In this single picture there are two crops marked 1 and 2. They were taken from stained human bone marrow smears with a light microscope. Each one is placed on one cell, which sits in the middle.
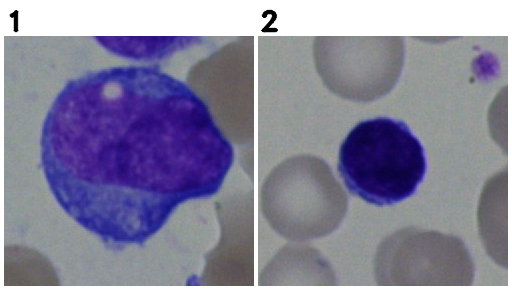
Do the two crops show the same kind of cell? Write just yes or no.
no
